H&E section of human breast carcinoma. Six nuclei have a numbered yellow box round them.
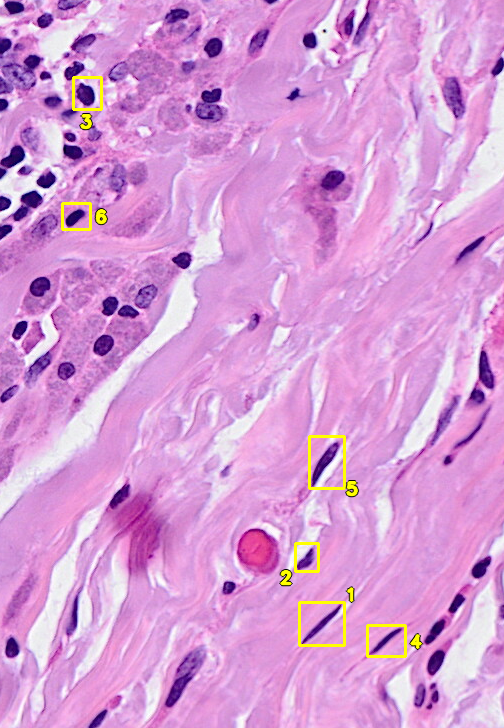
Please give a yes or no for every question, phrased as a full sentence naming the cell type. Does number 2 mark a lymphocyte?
No, sorry, the cell labelled 2 is not a lymphocyte; it is a fibroblast.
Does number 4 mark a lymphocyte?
No, the cell labelled number 4 is not a lymphocyte; it is a fibroblast.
